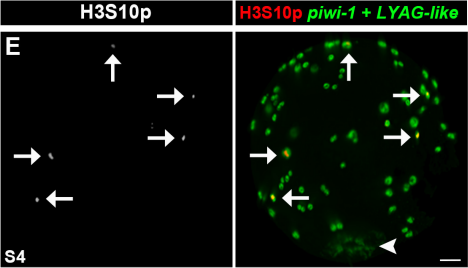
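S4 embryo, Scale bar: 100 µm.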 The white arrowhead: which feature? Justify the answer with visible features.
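The arrowhead marks a green structure at the bottom edge of the round embryo.
Conclusion: temporary embryonic pharynx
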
